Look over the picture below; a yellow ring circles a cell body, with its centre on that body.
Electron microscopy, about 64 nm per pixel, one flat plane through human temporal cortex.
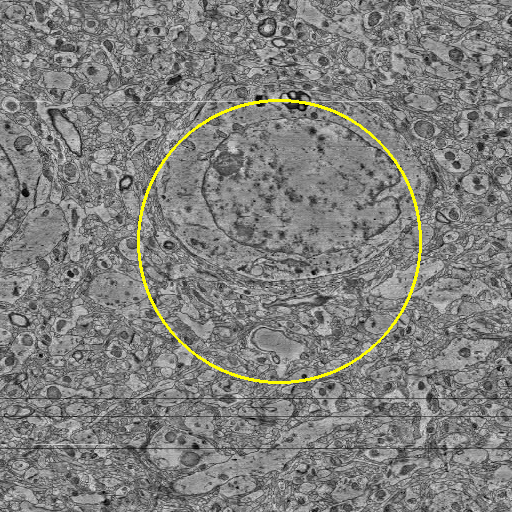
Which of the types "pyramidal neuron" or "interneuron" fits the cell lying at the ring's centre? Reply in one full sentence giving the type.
The picture shows a pyramidal neuron at the centre of the yellow ring.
